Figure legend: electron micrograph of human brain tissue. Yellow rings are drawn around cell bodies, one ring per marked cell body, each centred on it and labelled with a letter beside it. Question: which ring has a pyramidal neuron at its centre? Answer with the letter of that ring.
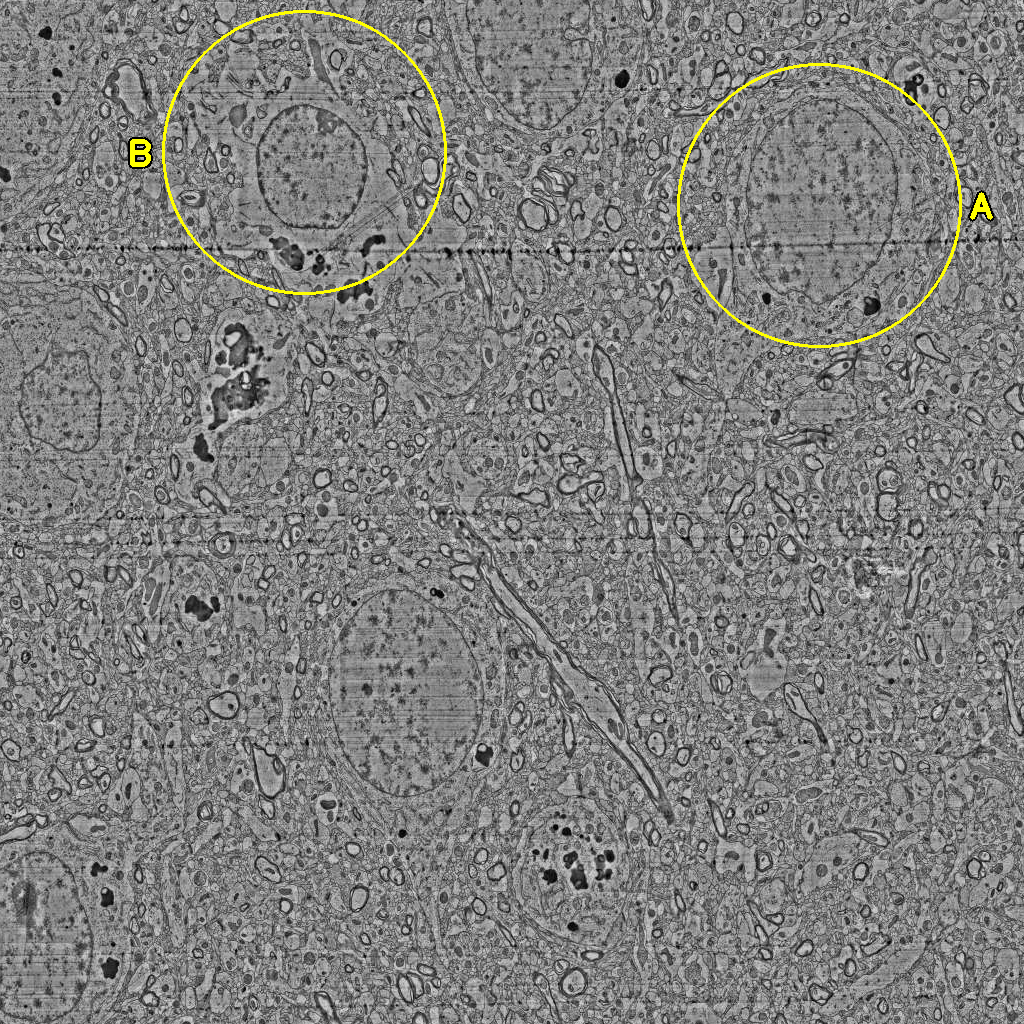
A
